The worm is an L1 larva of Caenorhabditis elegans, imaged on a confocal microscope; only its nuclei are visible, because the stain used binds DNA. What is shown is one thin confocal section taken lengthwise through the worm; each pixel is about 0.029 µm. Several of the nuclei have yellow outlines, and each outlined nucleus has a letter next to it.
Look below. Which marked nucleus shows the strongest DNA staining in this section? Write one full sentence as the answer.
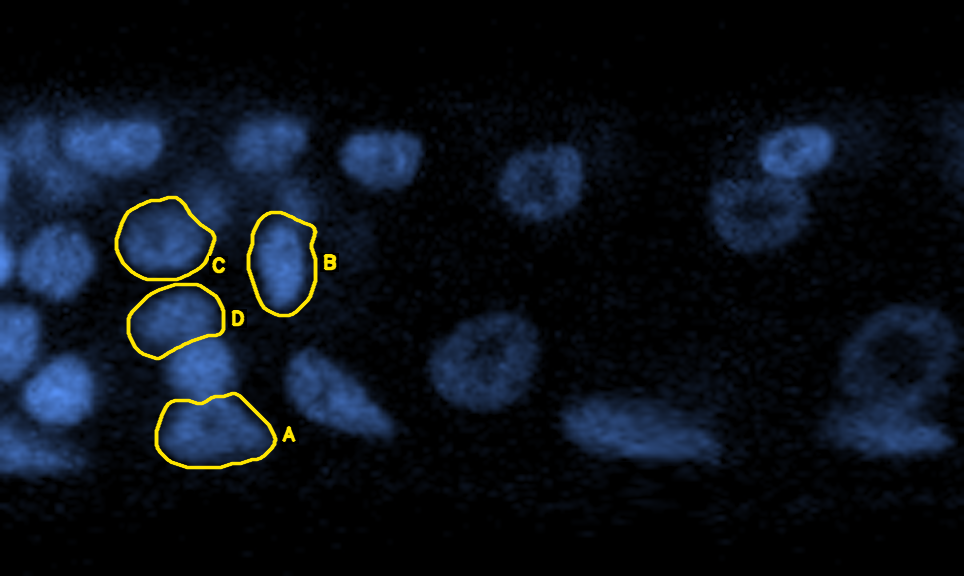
Nucleus B shows the strongest staining.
